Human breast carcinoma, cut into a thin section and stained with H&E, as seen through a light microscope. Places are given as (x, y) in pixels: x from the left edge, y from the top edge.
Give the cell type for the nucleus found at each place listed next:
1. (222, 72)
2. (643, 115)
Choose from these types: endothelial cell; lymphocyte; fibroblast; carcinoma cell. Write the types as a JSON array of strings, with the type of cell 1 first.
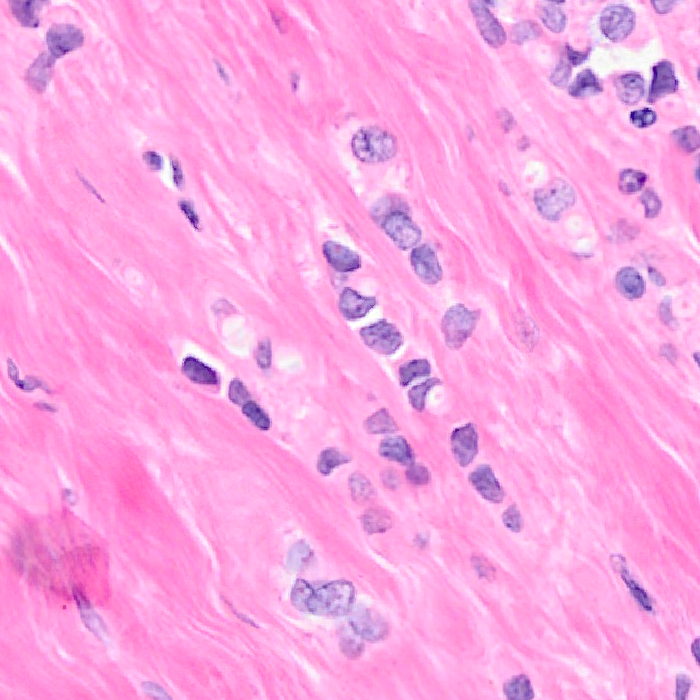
["fibroblast", "lymphocyte"]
